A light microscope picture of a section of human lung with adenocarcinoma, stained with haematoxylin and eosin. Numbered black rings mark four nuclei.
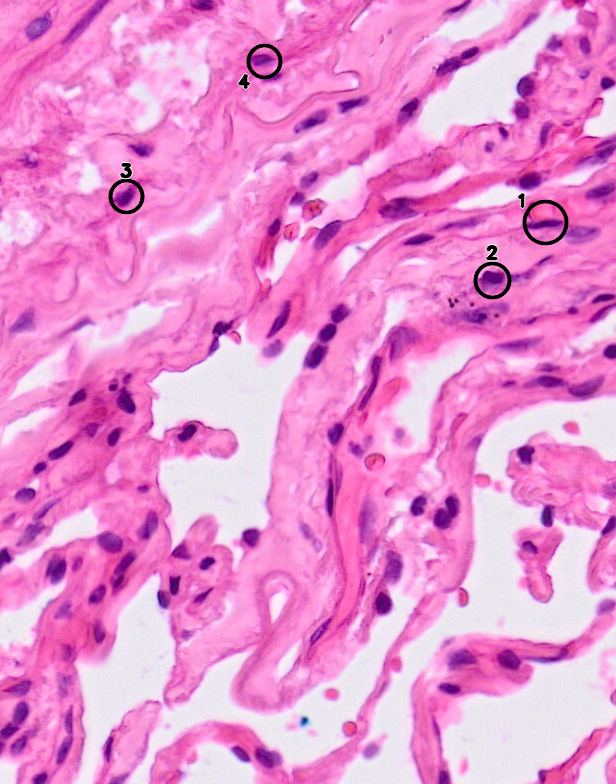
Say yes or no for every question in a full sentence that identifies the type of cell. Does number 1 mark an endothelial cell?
Yes, it checks out; the cell labelled 1 is an endothelial cell.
